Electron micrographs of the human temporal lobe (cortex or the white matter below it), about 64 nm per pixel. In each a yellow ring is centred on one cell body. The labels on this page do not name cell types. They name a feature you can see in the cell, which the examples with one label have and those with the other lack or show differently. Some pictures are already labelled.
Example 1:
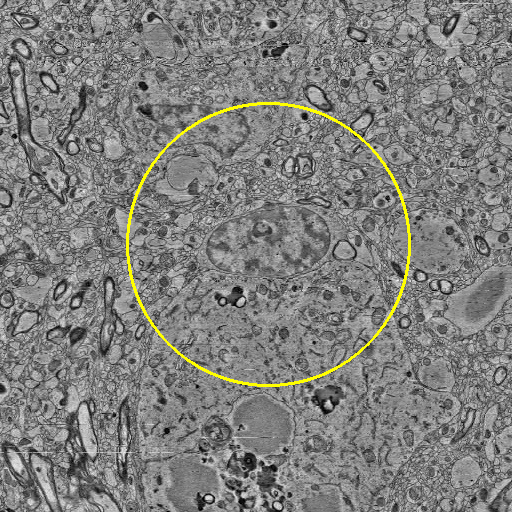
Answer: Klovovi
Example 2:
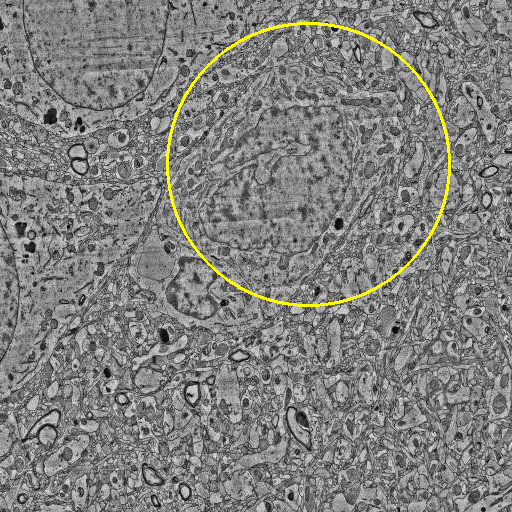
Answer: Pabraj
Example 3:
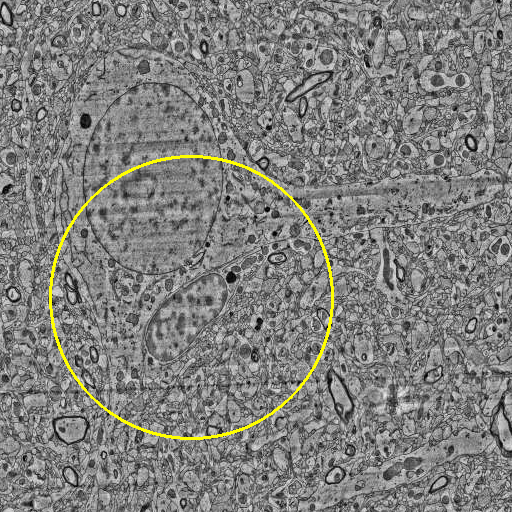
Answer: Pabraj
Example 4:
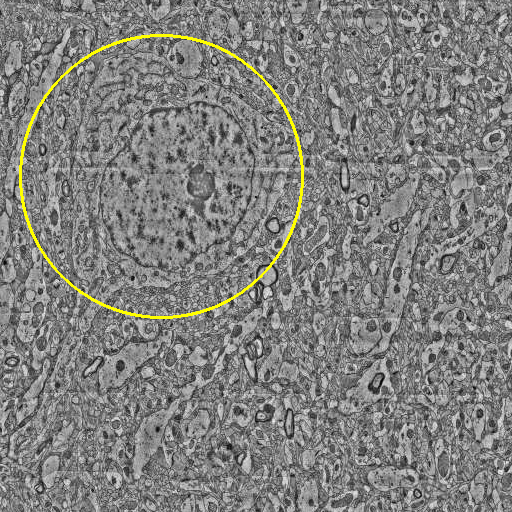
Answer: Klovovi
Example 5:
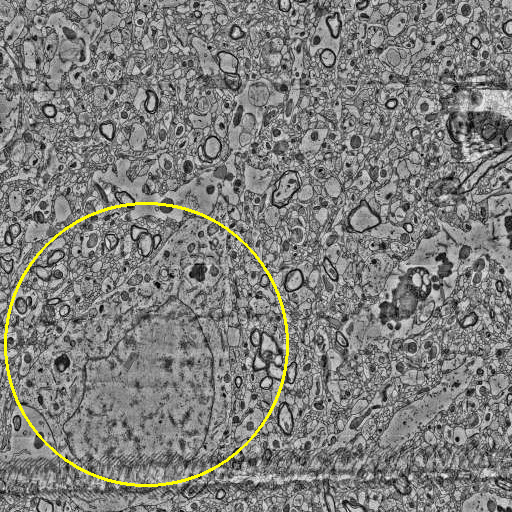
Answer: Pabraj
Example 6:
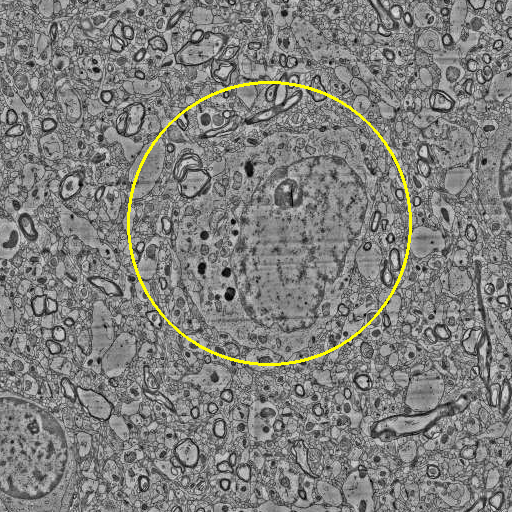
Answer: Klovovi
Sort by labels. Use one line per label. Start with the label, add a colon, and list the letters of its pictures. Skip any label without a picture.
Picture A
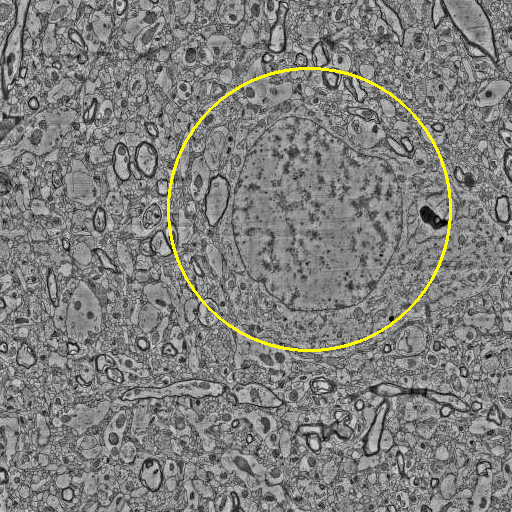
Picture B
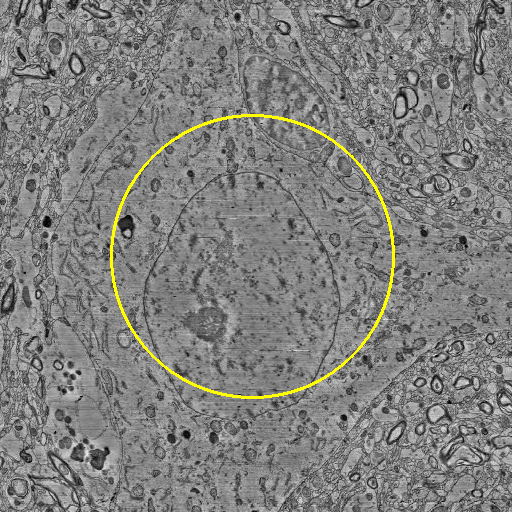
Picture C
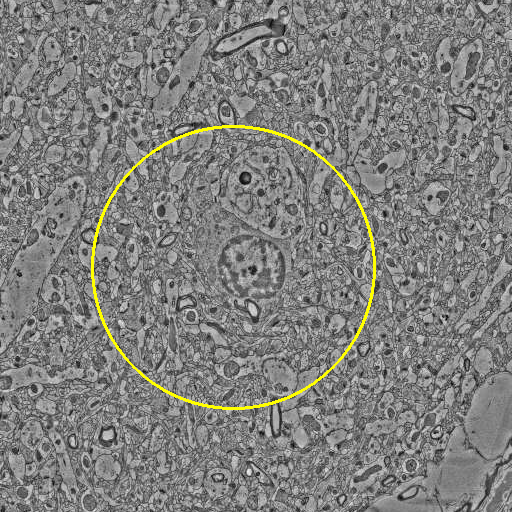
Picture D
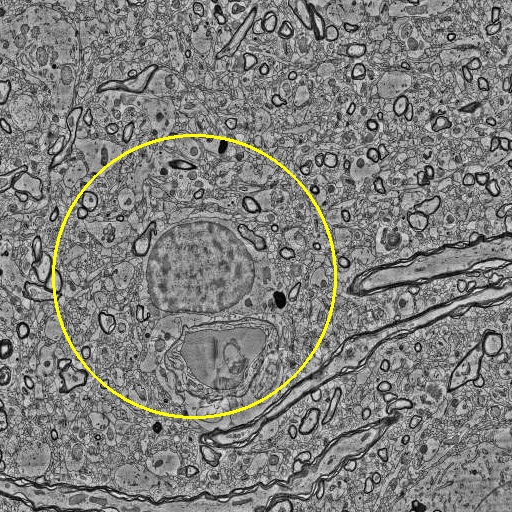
Klovovi: B, C
Pabraj: A, D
